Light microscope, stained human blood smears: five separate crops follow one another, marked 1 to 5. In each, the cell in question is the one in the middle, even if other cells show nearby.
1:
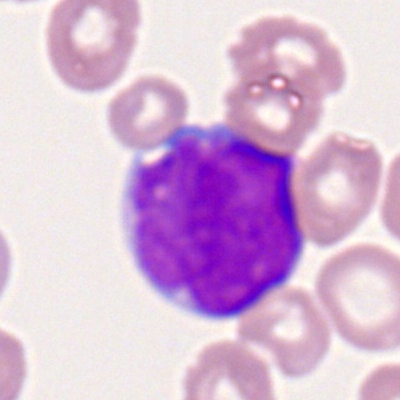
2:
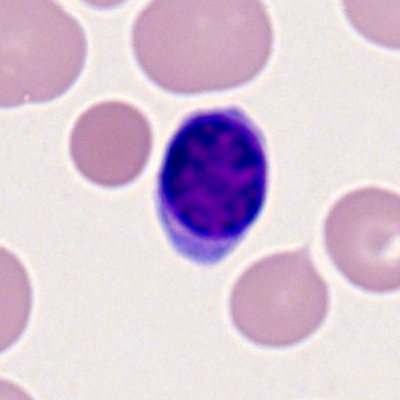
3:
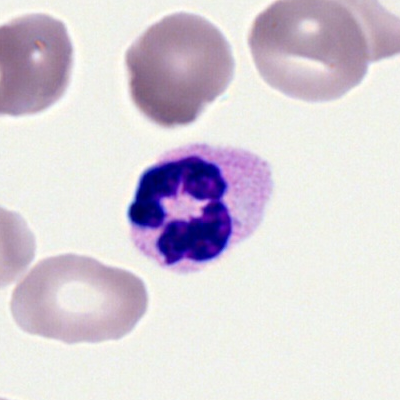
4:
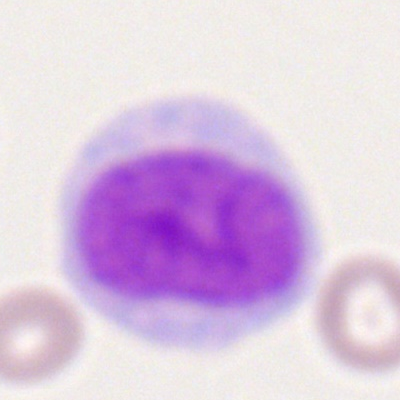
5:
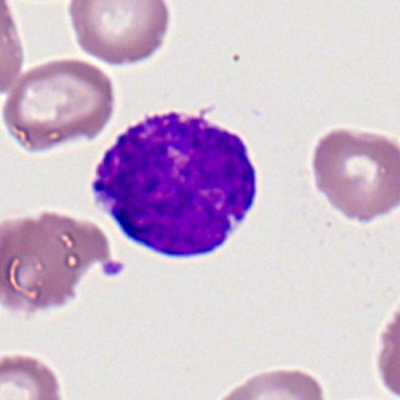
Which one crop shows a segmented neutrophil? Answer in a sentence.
The sole crop showing a segmented neutrophil is crop 3.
